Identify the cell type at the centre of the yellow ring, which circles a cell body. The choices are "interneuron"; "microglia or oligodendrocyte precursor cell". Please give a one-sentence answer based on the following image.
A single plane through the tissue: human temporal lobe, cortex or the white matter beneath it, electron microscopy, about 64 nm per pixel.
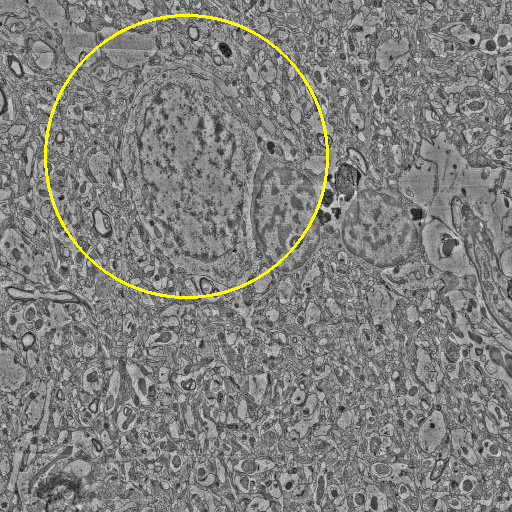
The cell marked by the ring is an interneuron.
